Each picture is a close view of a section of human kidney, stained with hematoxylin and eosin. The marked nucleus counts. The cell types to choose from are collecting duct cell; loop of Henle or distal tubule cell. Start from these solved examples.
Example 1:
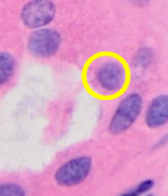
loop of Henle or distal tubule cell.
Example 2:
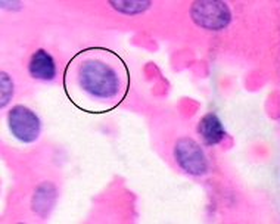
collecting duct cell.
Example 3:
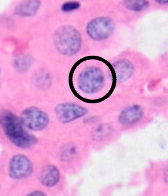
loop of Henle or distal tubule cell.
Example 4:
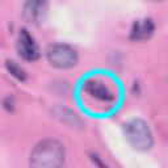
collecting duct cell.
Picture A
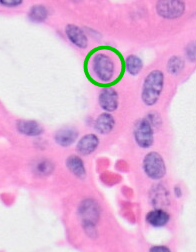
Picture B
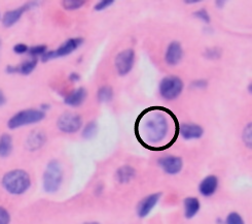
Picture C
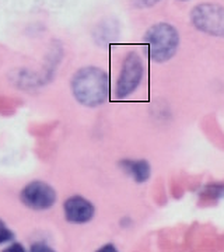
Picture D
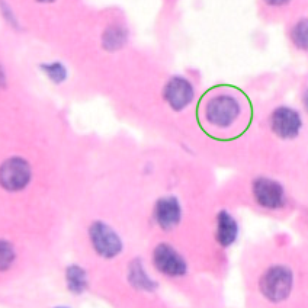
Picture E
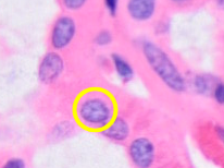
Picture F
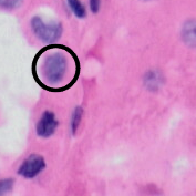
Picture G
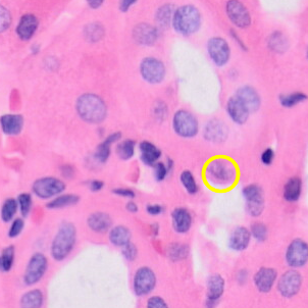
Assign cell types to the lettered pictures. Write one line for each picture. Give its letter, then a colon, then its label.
A: collecting duct cell.
B: loop of Henle or distal tubule cell.
C: collecting duct cell.
D: loop of Henle or distal tubule cell.
E: loop of Henle or distal tubule cell.
F: loop of Henle or distal tubule cell.
G: loop of Henle or distal tubule cell.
